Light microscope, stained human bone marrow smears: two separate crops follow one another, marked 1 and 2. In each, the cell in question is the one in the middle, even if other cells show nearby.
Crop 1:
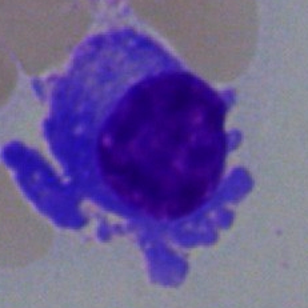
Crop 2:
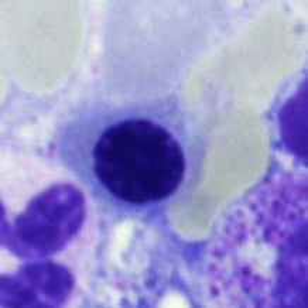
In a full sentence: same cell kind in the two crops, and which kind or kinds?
No, crop 1 captures a plasma cell; meanwhile crop 2 captures a normoblast.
